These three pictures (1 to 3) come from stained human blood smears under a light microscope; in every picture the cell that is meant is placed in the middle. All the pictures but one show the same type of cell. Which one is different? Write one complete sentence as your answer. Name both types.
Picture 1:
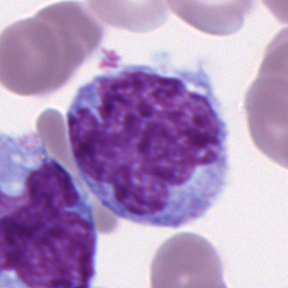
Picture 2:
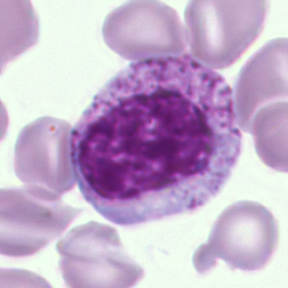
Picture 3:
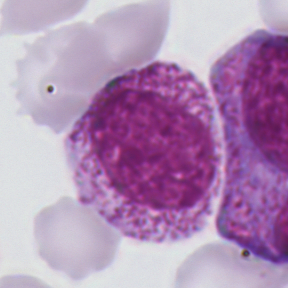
The different one is picture 1; it shows a monocyte, whereas all the others show myelocytes.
